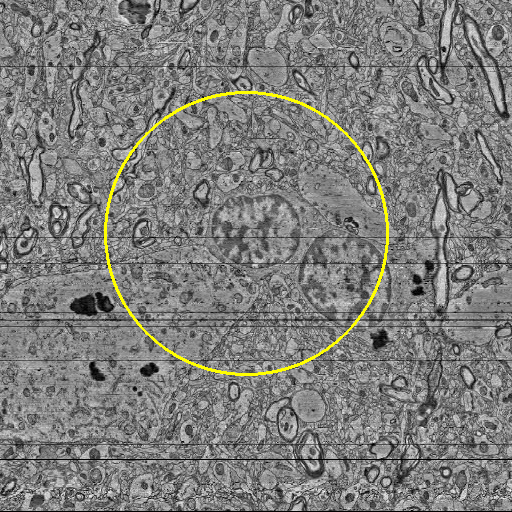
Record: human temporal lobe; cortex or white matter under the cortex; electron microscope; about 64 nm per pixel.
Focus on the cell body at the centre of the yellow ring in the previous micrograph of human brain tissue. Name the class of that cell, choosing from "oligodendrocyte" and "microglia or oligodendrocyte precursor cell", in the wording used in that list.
oligodendrocyte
